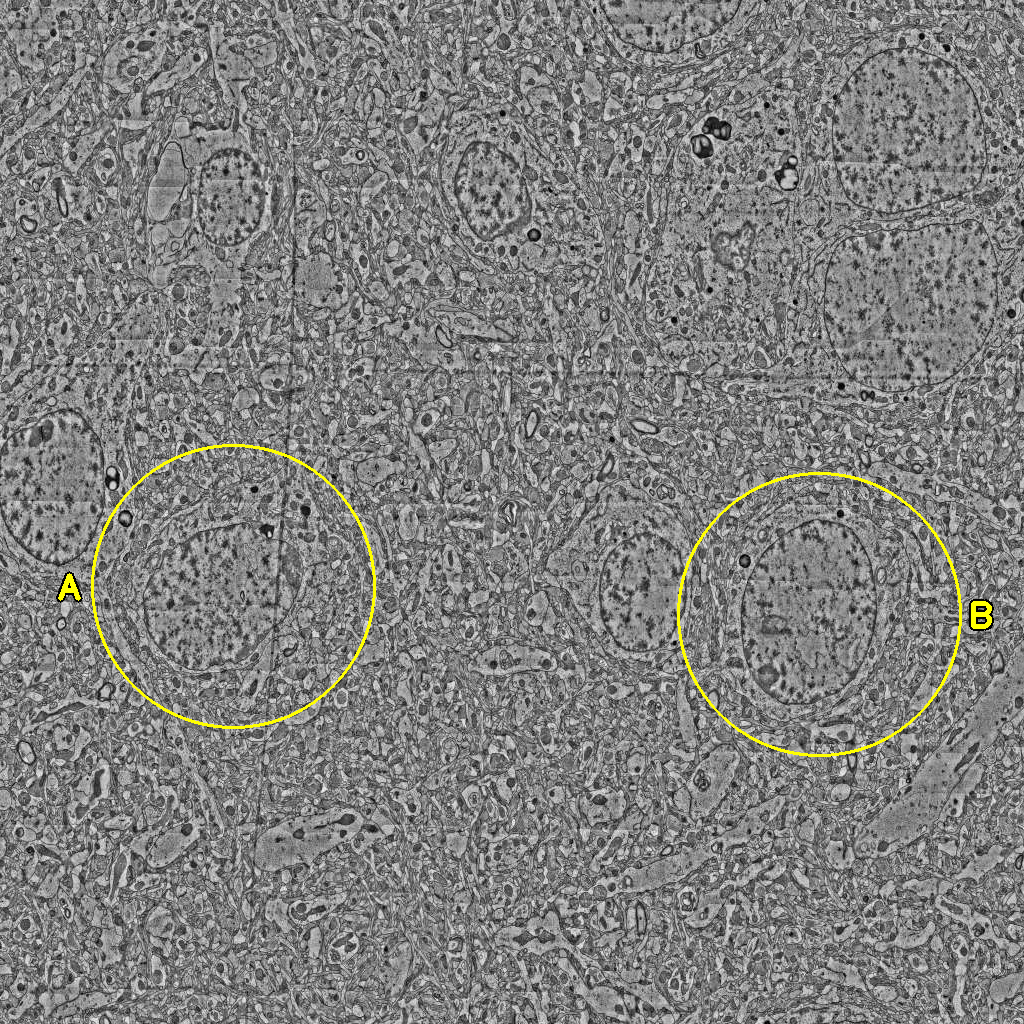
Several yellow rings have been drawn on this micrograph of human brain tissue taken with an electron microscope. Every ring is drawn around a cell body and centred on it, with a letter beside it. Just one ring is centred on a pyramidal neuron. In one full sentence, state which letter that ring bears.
At the centre of ring B is a cell of that kind.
